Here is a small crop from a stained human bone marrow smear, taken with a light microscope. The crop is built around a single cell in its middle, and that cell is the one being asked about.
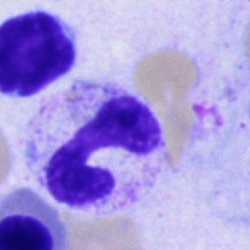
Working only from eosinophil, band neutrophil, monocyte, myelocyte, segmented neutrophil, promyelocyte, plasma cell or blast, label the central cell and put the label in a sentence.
The cell at the heart of this crop is a segmented neutrophil.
